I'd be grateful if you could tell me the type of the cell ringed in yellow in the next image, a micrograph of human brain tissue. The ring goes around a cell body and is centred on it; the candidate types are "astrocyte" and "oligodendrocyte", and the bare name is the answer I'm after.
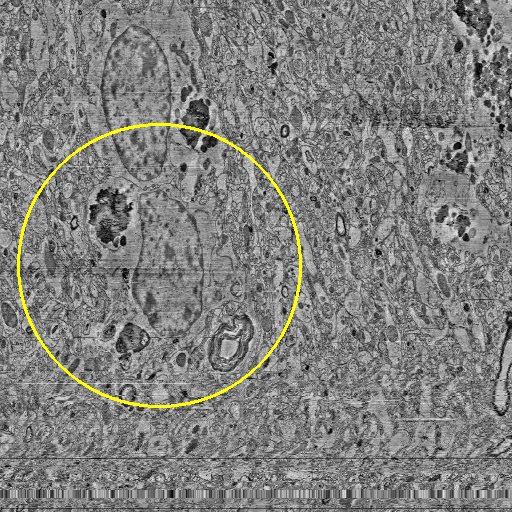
astrocyte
